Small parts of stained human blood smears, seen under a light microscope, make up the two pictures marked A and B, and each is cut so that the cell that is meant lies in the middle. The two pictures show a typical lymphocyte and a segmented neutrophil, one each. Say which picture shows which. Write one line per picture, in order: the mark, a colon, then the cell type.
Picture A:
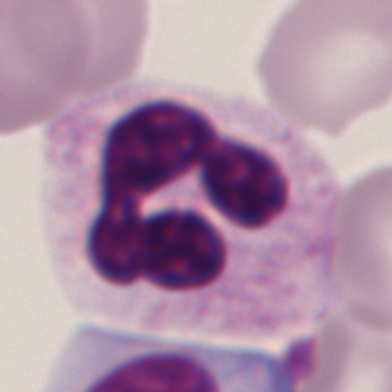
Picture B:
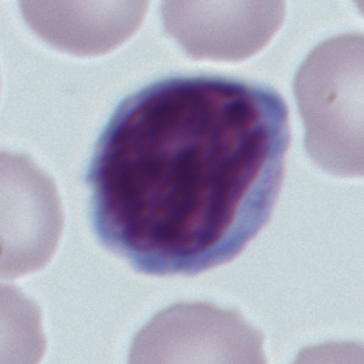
A: segmented neutrophil
B: typical lymphocyte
